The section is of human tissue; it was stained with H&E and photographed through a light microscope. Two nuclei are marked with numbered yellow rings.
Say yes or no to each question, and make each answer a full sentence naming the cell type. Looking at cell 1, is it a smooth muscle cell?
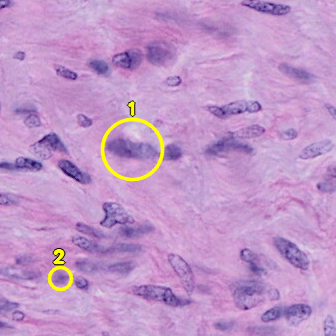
No, the cell given number 1 is a fibroblast, as opposed to a smooth muscle cell.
